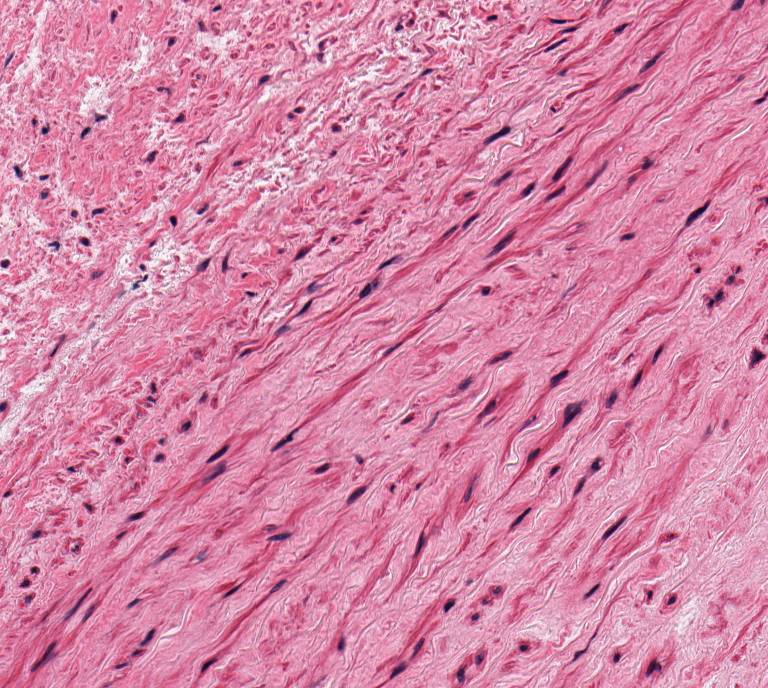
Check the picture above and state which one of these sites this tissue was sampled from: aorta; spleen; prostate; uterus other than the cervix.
aorta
